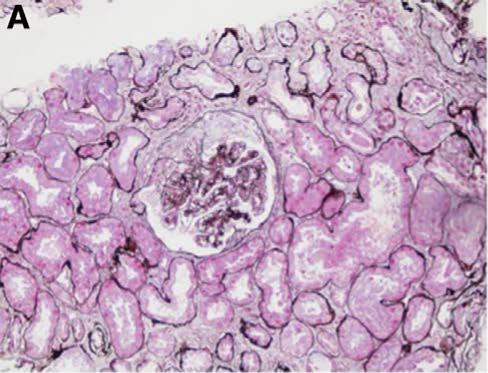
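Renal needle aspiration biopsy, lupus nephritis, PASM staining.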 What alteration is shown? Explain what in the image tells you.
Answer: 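Cellular fibrous crescent formation. A single glomerulus sits in the centre of the field, surrounded by tubules. Within the capsule, the dark-stained capillary tuft is compacted, with pale material and cells lying between the tuft and the capsule wall.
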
